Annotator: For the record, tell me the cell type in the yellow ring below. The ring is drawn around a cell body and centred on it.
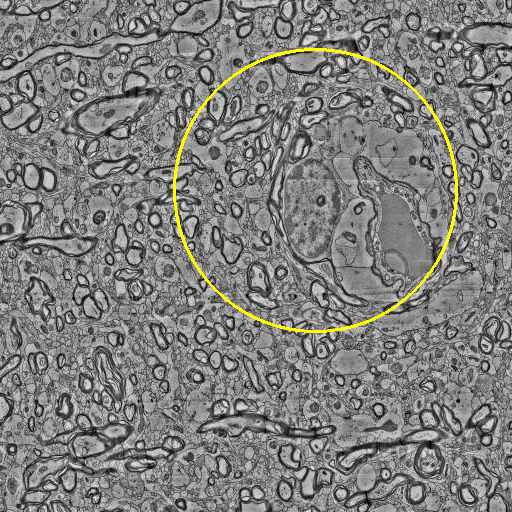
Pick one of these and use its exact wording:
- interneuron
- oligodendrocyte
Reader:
oligodendrocyte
